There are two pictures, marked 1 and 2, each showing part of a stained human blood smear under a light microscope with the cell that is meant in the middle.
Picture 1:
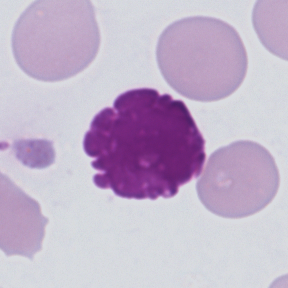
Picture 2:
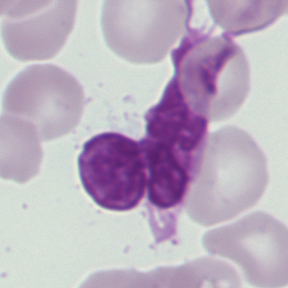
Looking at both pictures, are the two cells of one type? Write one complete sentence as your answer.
Yes, they are the same type: both are smudge cells.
